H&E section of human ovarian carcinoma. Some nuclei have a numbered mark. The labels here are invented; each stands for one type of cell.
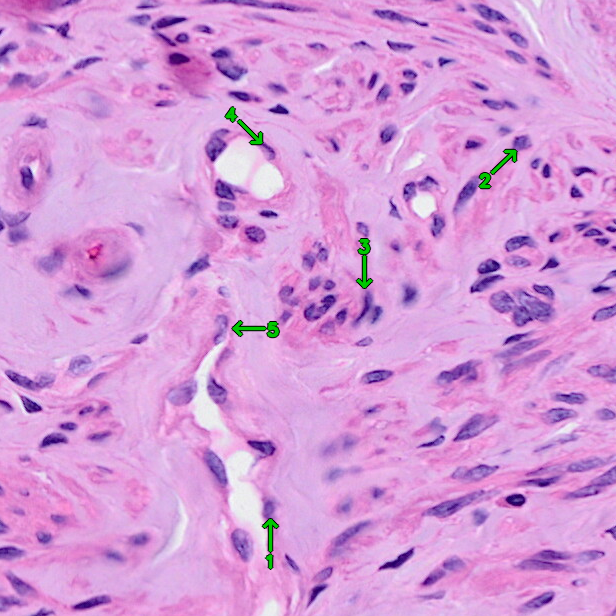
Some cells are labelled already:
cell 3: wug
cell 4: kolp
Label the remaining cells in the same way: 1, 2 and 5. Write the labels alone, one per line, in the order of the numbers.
kolp
wug
kolp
